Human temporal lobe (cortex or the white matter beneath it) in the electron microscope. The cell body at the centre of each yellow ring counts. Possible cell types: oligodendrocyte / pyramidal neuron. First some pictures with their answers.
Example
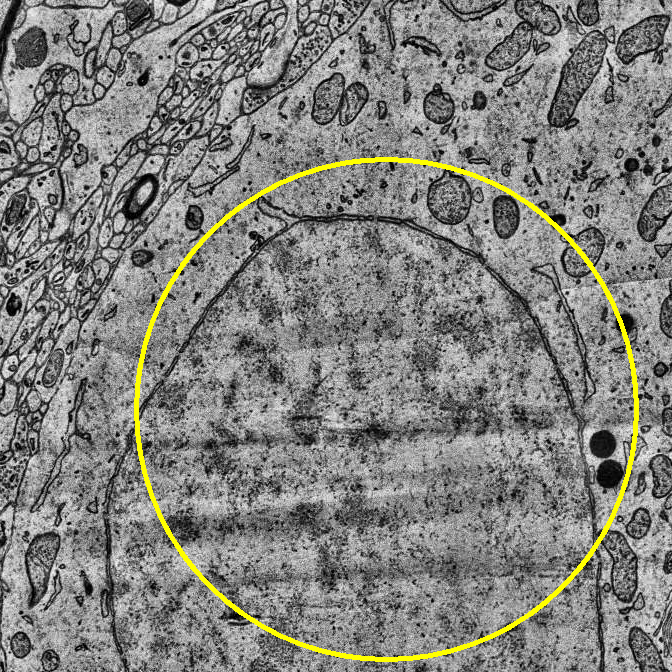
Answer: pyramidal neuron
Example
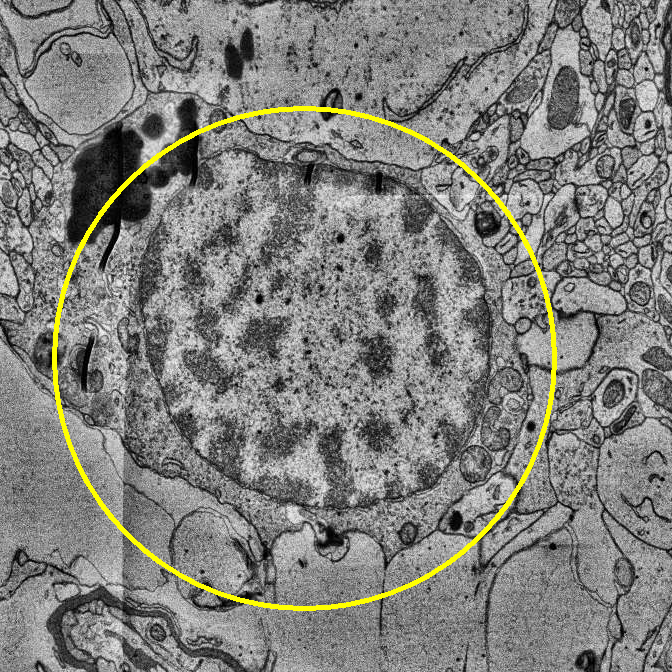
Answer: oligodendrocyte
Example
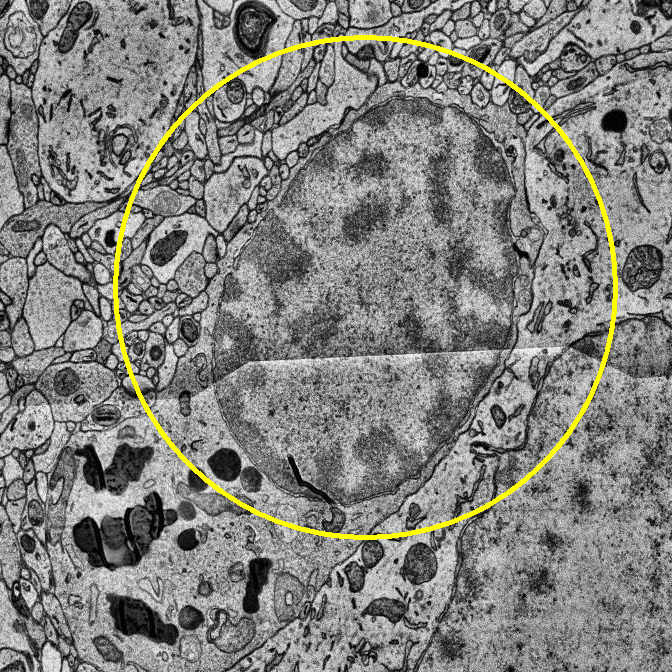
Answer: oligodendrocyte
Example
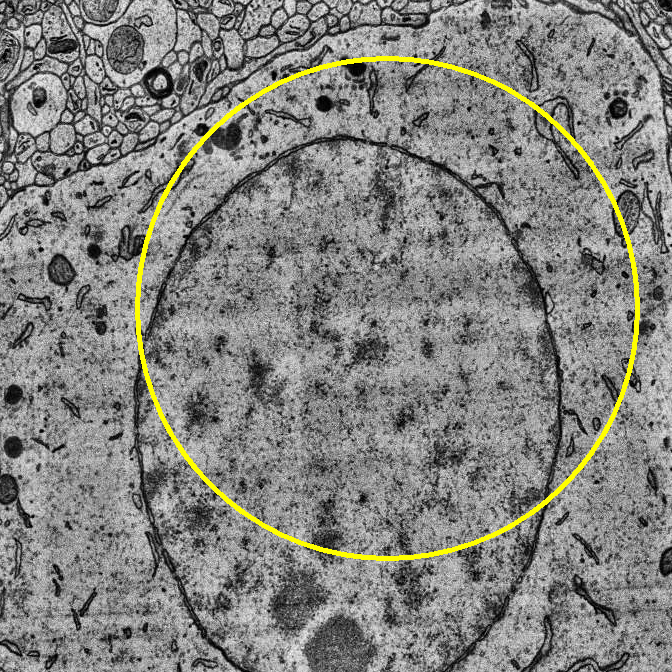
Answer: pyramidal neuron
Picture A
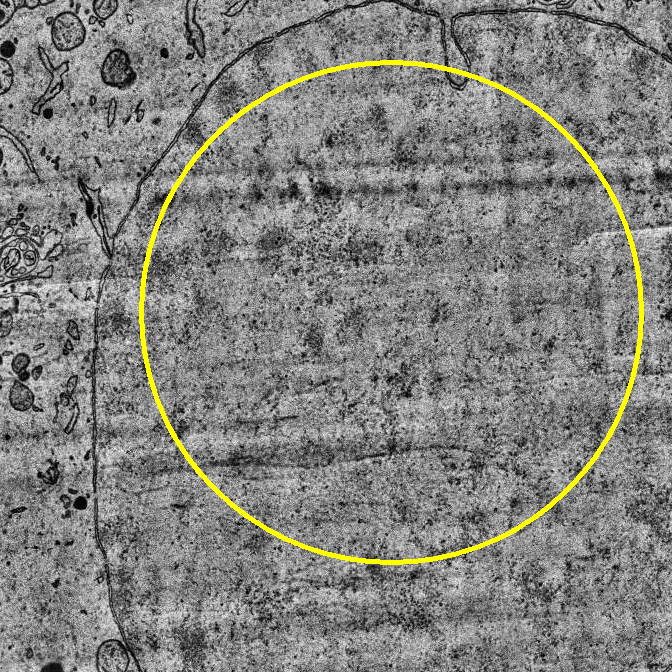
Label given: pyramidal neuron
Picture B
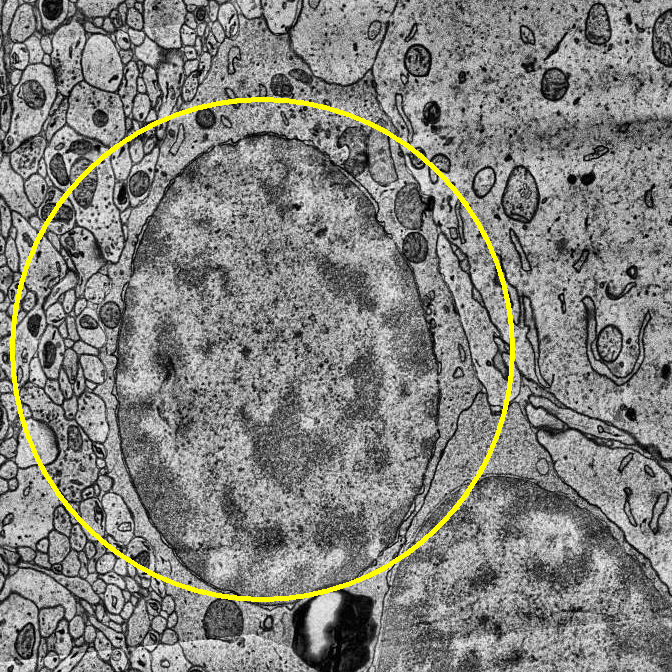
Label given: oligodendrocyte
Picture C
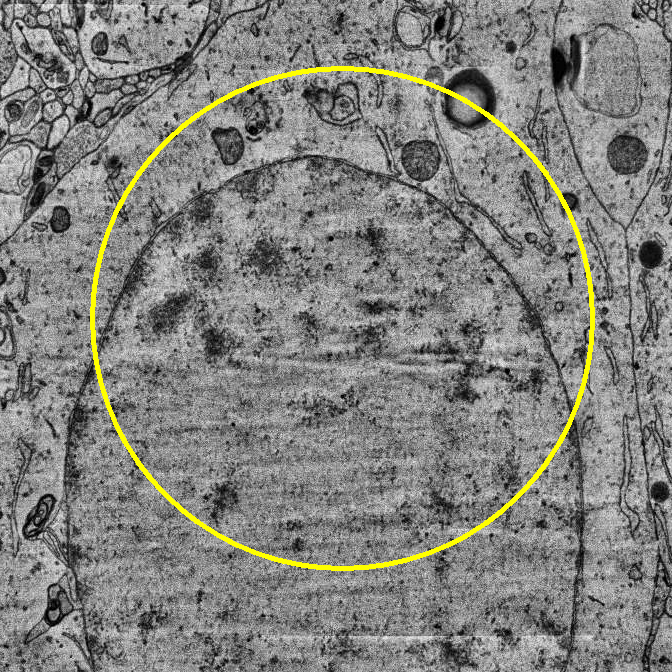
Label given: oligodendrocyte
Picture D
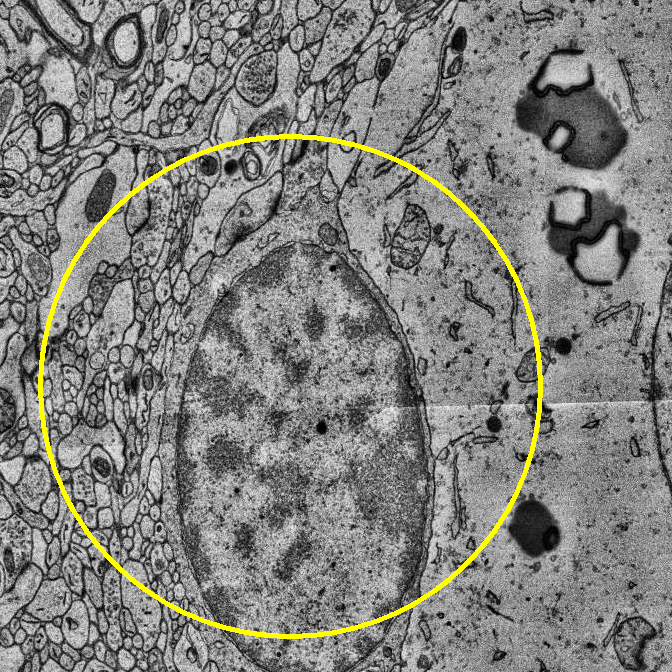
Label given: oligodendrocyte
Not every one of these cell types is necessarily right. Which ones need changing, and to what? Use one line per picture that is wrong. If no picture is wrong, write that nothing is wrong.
Wrong: C (oligodendrocyte); correct: pyramidal neuron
